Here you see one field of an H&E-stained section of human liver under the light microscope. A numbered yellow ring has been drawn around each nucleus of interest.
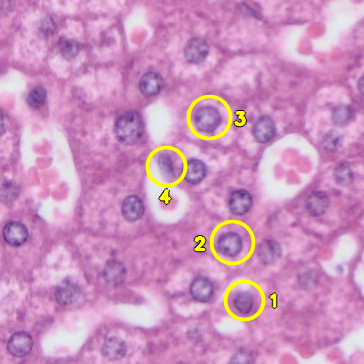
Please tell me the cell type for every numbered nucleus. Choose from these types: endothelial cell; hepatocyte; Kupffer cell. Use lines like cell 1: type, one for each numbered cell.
cell 1: Kupffer cell
cell 2: hepatocyte
cell 3: hepatocyte
cell 4: Kupffer cell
